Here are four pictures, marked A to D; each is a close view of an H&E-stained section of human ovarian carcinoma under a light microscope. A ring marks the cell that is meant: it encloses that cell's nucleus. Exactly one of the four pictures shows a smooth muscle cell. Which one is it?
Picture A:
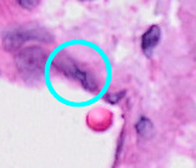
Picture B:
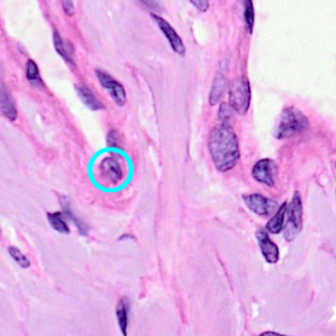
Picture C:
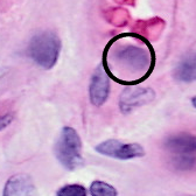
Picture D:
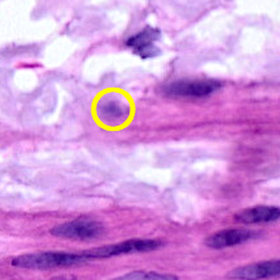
D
